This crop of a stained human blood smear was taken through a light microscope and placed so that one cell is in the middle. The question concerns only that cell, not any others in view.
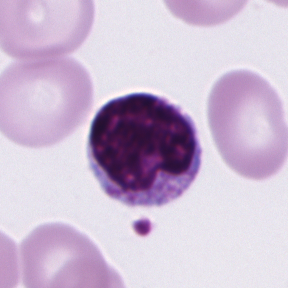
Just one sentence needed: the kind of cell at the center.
Located at the centre of the crop is a large granular lymphocyte.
